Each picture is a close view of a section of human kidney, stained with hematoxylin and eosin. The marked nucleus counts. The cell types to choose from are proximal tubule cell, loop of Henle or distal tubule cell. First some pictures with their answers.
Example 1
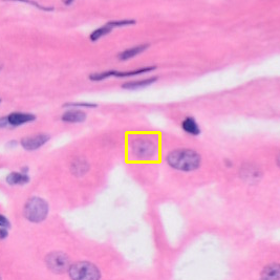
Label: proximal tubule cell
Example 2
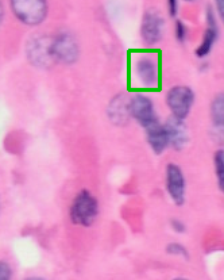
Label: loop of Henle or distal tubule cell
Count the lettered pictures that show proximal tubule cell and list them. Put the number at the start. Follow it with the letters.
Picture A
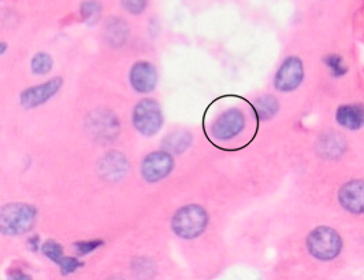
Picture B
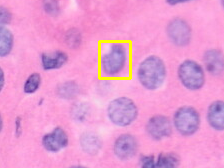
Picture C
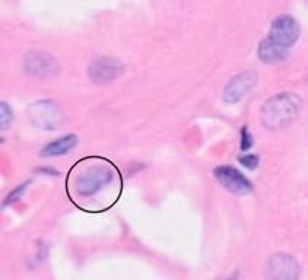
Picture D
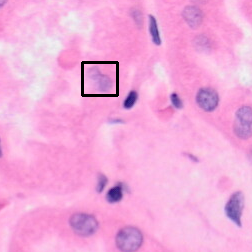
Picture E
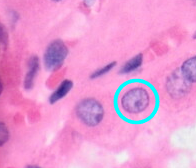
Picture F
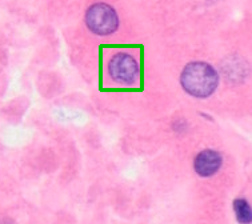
Count: 3 (D, E, F)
